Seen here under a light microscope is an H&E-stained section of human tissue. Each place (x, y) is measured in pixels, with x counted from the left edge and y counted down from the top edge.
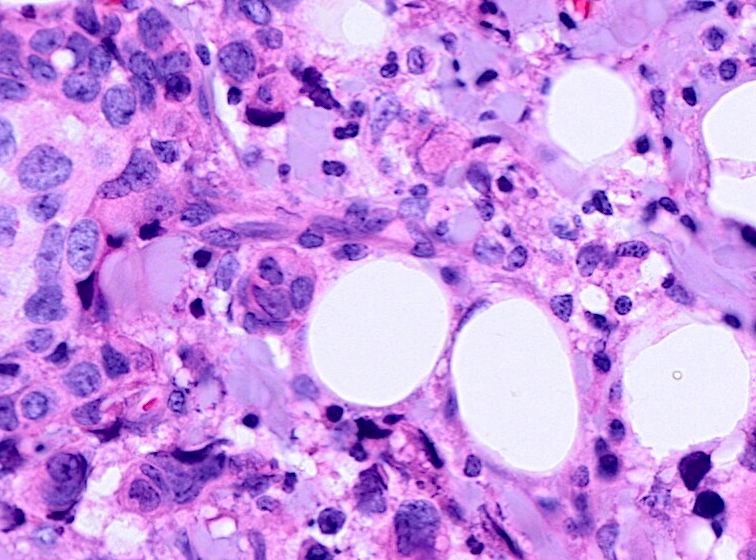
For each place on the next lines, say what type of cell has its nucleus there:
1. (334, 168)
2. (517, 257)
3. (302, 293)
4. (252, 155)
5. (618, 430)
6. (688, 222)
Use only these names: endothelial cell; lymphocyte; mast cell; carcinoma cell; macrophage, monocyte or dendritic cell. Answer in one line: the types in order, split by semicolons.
lymphocyte; macrophage, monocyte or dendritic cell; carcinoma cell; macrophage, monocyte or dendritic cell; mast cell; lymphocyte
